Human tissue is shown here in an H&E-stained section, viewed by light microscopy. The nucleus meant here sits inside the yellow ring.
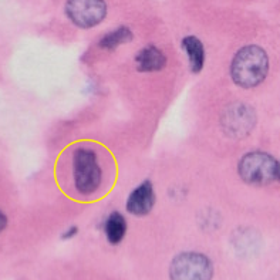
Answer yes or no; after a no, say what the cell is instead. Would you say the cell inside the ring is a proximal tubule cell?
Yes.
